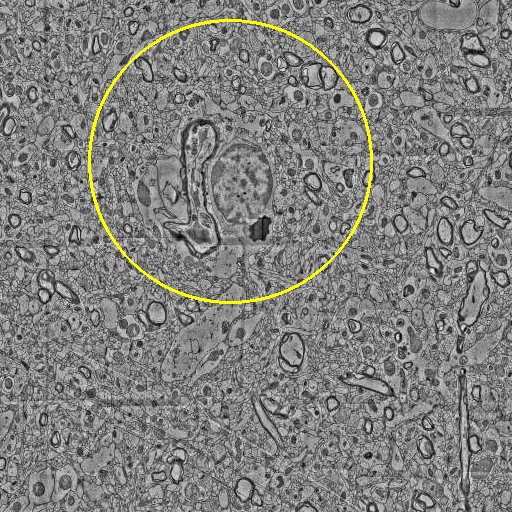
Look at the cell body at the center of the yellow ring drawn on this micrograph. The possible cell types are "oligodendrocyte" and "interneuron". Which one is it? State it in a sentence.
The cell in the middle of the ring is an oligodendrocyte.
